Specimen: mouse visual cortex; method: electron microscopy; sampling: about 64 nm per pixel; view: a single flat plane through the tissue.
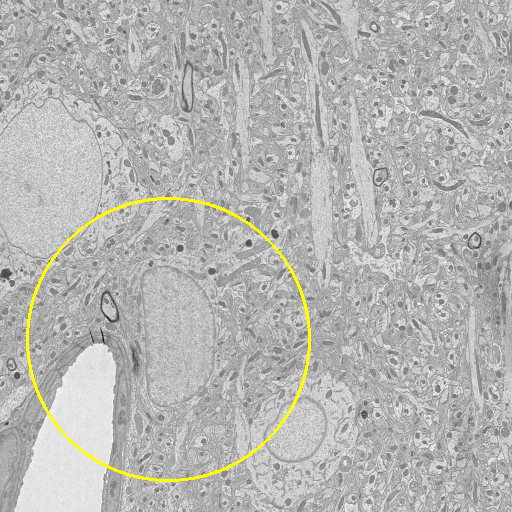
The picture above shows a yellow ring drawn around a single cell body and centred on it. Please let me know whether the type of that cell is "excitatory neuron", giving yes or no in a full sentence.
No, the cell at the centre of the ring above has a different type.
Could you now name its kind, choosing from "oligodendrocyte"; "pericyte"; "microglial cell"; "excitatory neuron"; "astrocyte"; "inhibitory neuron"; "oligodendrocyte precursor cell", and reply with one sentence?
Instead, what sits at the centre of the ring is an astrocyte.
